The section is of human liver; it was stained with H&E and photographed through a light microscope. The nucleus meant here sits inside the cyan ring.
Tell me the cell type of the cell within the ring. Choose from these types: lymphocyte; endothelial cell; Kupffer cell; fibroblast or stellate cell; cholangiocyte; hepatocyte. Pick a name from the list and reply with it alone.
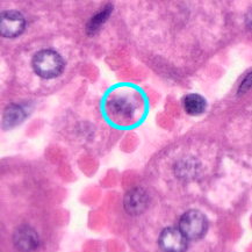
endothelial cell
